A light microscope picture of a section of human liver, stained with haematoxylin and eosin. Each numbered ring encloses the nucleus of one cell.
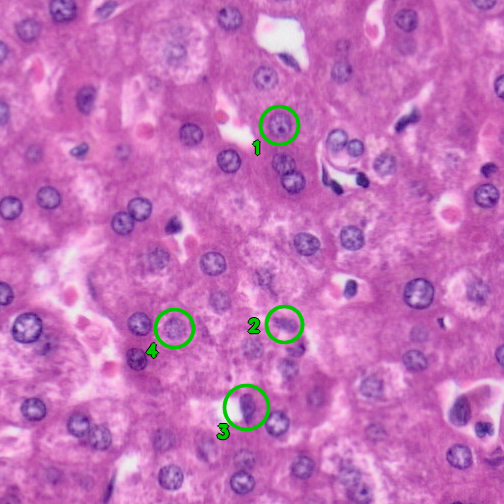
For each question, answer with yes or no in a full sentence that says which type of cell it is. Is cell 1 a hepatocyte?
Yes, cell number 1 in this section is a hepatocyte.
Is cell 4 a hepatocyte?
Yes, on this slide, the cell with number 4 is a hepatocyte.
